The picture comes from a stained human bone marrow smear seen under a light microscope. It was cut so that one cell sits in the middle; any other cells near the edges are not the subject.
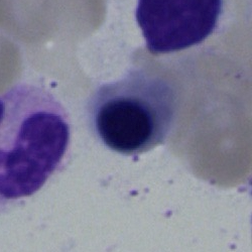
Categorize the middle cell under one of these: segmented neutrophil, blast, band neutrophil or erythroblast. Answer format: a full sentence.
The centered cell in this crop is an erythroblast.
